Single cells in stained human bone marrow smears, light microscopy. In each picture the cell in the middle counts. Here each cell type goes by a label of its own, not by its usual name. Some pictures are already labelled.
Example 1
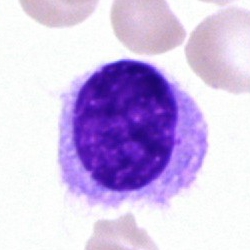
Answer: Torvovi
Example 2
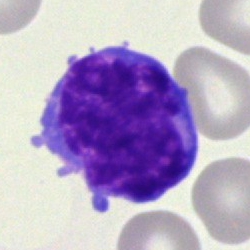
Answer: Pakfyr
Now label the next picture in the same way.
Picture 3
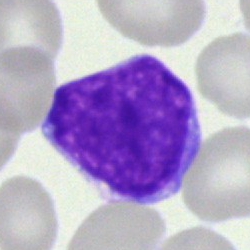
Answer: Pakfyr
